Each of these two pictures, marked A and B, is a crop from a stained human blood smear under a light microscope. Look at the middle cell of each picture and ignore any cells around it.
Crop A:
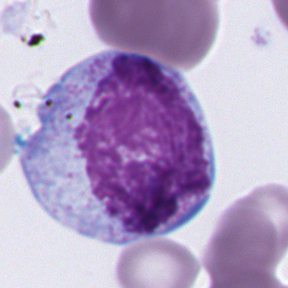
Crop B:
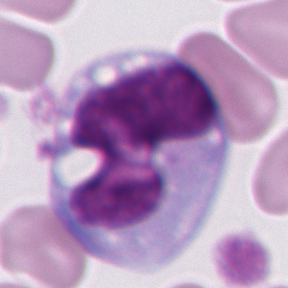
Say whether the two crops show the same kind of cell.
no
